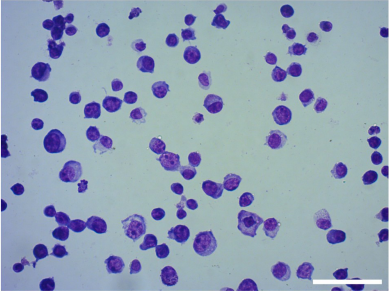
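Most cells are round with a large, round, deep purple nucleus taking up much of the cell. A thin rim of paler cytoplasm surrounds many of the nuclei. Cell sizes vary, with some larger cells showing more spread, paler cytoplasm. The nuclei look mostly smooth in outline, without lobes.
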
